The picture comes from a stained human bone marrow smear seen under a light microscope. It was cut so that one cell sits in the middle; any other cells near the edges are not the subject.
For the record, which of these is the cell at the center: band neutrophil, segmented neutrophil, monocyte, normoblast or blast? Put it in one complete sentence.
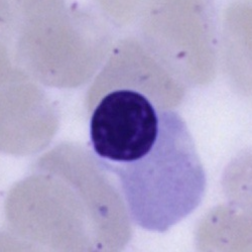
Classification of the middle cell gives a normoblast.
